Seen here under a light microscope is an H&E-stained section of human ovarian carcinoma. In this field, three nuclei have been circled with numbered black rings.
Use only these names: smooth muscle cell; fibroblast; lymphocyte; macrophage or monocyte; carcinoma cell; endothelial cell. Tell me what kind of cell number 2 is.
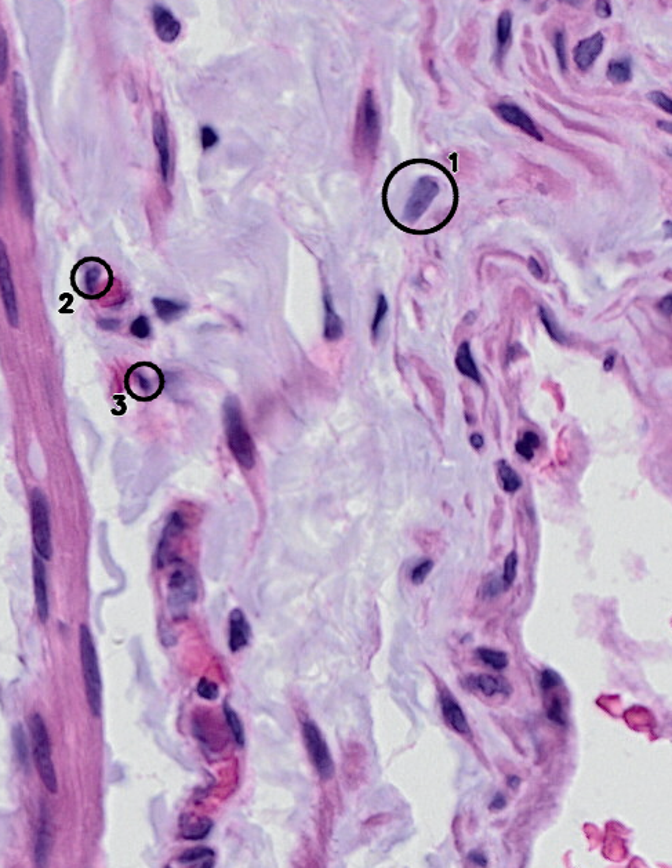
endothelial cell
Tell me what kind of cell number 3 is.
endothelial cell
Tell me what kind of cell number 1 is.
fibroblast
